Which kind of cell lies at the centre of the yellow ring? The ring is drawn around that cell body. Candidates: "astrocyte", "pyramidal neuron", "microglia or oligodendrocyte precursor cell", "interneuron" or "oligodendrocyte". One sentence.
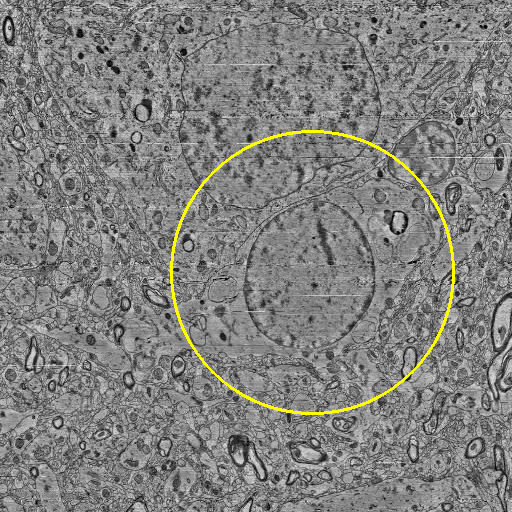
Lying at the centre of the ring is an astrocyte.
